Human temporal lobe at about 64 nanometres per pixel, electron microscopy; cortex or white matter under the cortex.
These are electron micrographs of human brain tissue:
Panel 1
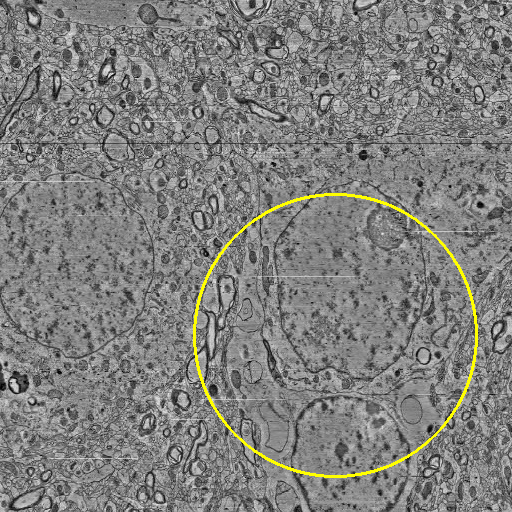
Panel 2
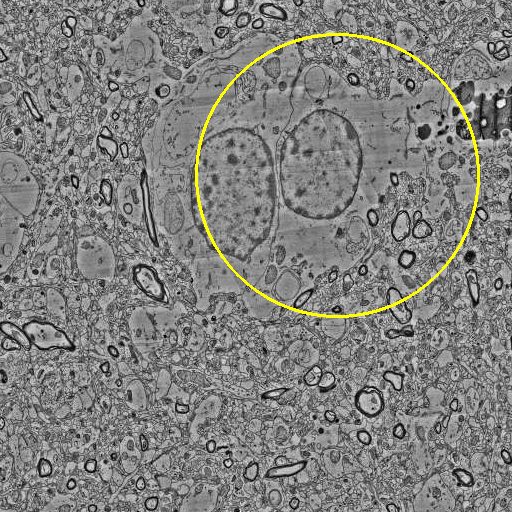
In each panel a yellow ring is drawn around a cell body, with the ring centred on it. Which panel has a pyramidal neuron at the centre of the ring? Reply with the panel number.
1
